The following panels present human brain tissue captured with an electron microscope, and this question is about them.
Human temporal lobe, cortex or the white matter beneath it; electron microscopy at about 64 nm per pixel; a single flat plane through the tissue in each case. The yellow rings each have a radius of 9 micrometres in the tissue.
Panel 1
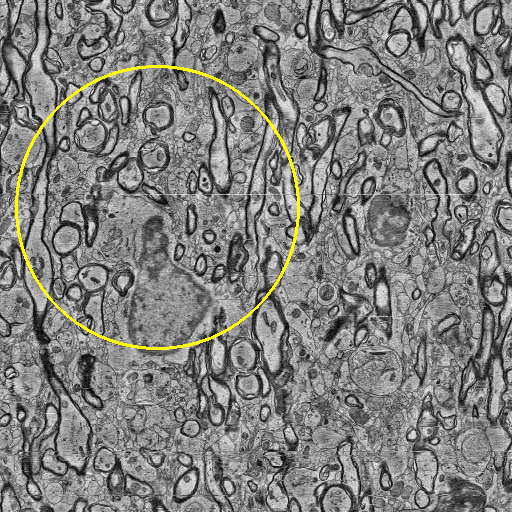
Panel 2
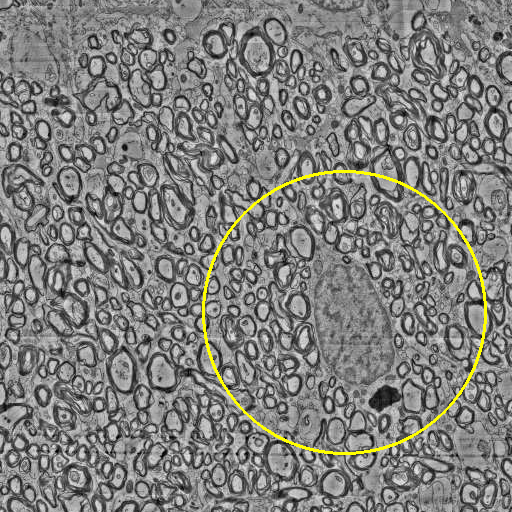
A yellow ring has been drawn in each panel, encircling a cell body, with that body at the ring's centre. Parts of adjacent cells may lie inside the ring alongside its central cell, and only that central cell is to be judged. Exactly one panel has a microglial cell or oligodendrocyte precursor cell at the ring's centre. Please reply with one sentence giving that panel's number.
The ring whose central cell fits the description is the one in panel 1.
